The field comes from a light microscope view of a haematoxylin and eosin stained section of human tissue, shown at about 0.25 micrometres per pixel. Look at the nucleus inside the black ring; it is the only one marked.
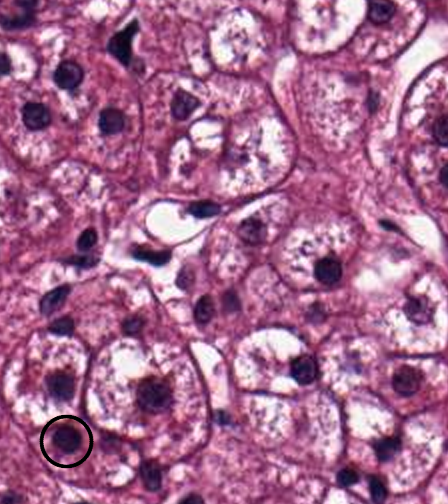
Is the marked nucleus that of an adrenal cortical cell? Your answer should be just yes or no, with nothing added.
yes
